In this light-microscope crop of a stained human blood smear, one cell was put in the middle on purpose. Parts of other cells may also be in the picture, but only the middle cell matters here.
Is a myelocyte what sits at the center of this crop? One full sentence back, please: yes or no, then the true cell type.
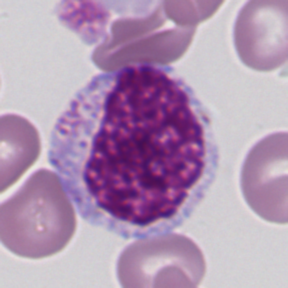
Yes, the cell shown at the crop's centre is a myelocyte.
